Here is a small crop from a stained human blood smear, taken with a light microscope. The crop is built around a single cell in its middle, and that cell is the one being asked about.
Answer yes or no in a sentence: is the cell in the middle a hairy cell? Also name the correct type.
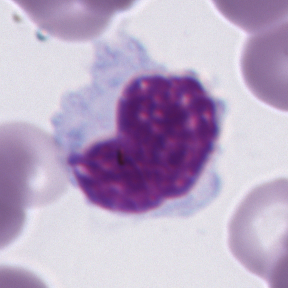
Yes, within this crop, the central cell is a hairy cell.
